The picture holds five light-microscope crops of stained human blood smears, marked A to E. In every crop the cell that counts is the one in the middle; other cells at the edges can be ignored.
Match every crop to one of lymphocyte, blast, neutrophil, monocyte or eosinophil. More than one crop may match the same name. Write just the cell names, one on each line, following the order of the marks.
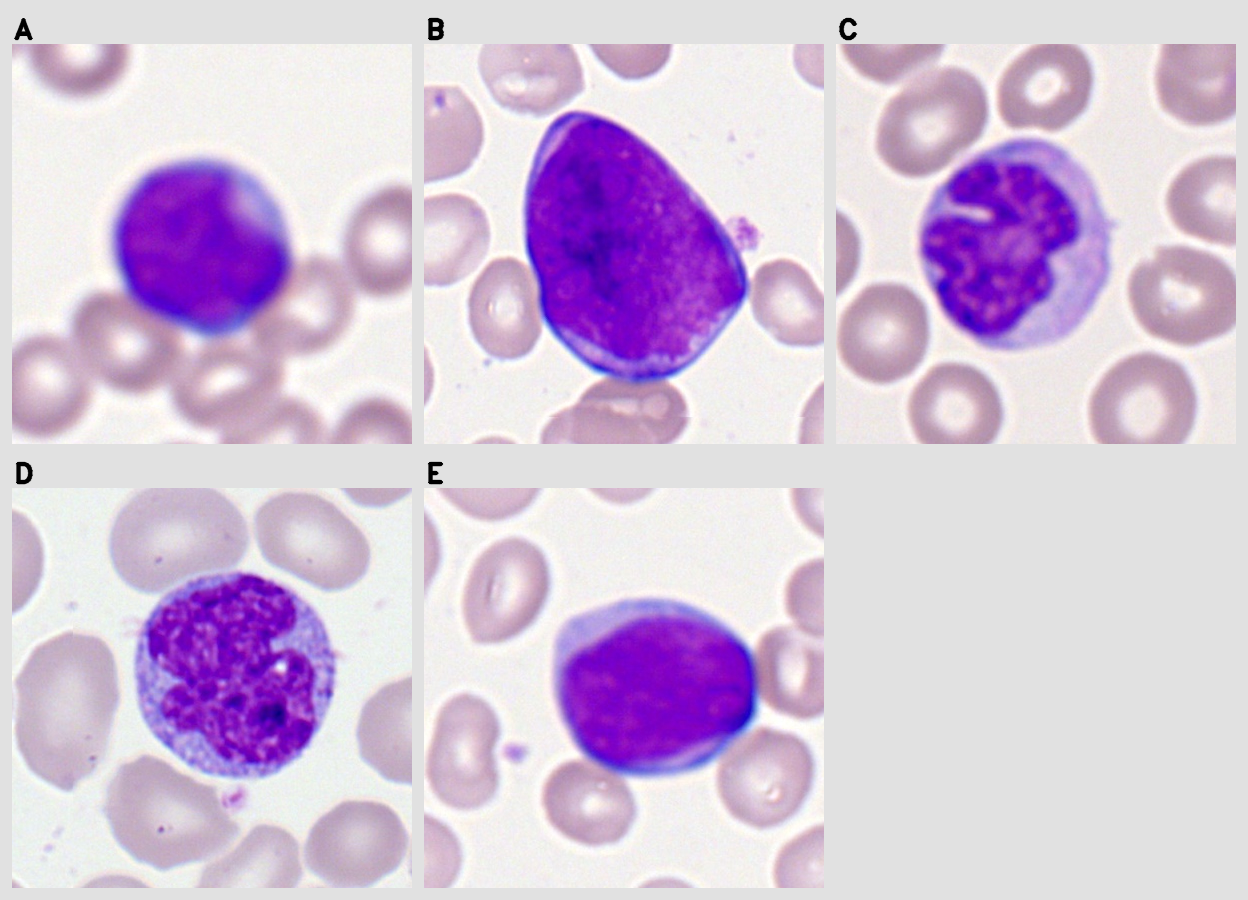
blast
blast
monocyte
monocyte
blast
